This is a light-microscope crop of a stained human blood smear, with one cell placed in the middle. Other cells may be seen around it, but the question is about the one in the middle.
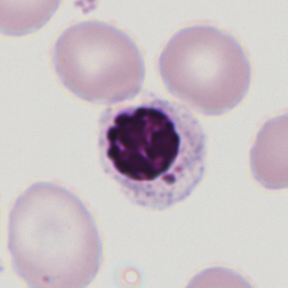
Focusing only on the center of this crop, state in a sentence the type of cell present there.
The target cell in the middle of the crop is an erythroblast.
